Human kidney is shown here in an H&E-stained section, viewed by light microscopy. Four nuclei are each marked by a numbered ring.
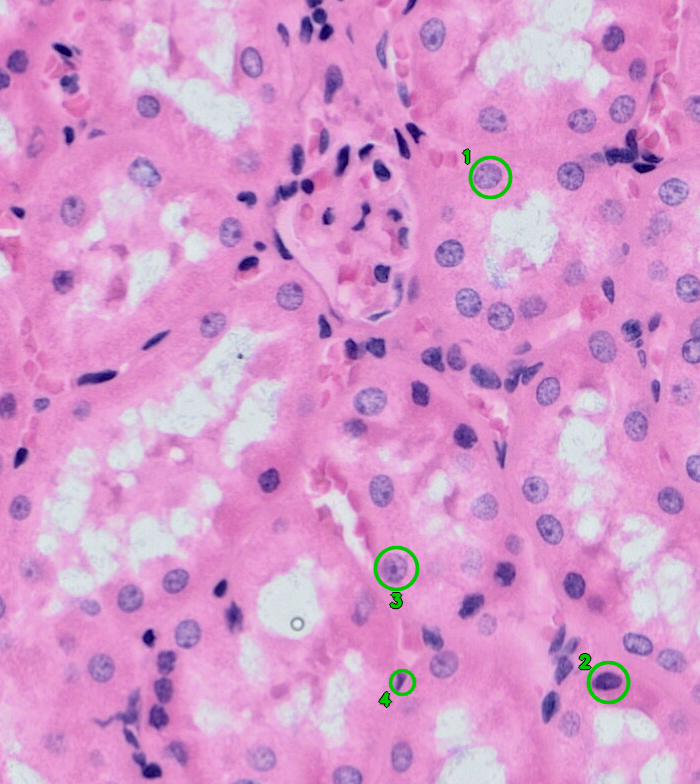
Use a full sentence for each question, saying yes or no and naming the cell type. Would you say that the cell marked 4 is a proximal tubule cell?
No, number 4 identifies an endothelial cell, not a proximal tubule cell.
